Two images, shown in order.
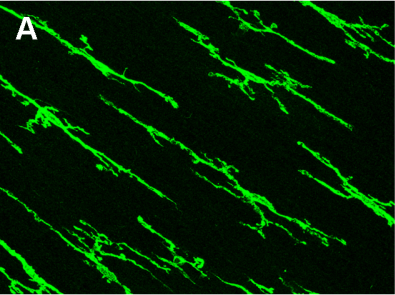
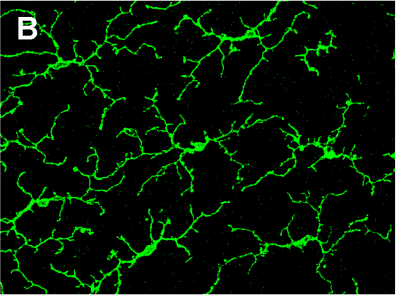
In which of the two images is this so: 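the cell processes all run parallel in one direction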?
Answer: the first image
